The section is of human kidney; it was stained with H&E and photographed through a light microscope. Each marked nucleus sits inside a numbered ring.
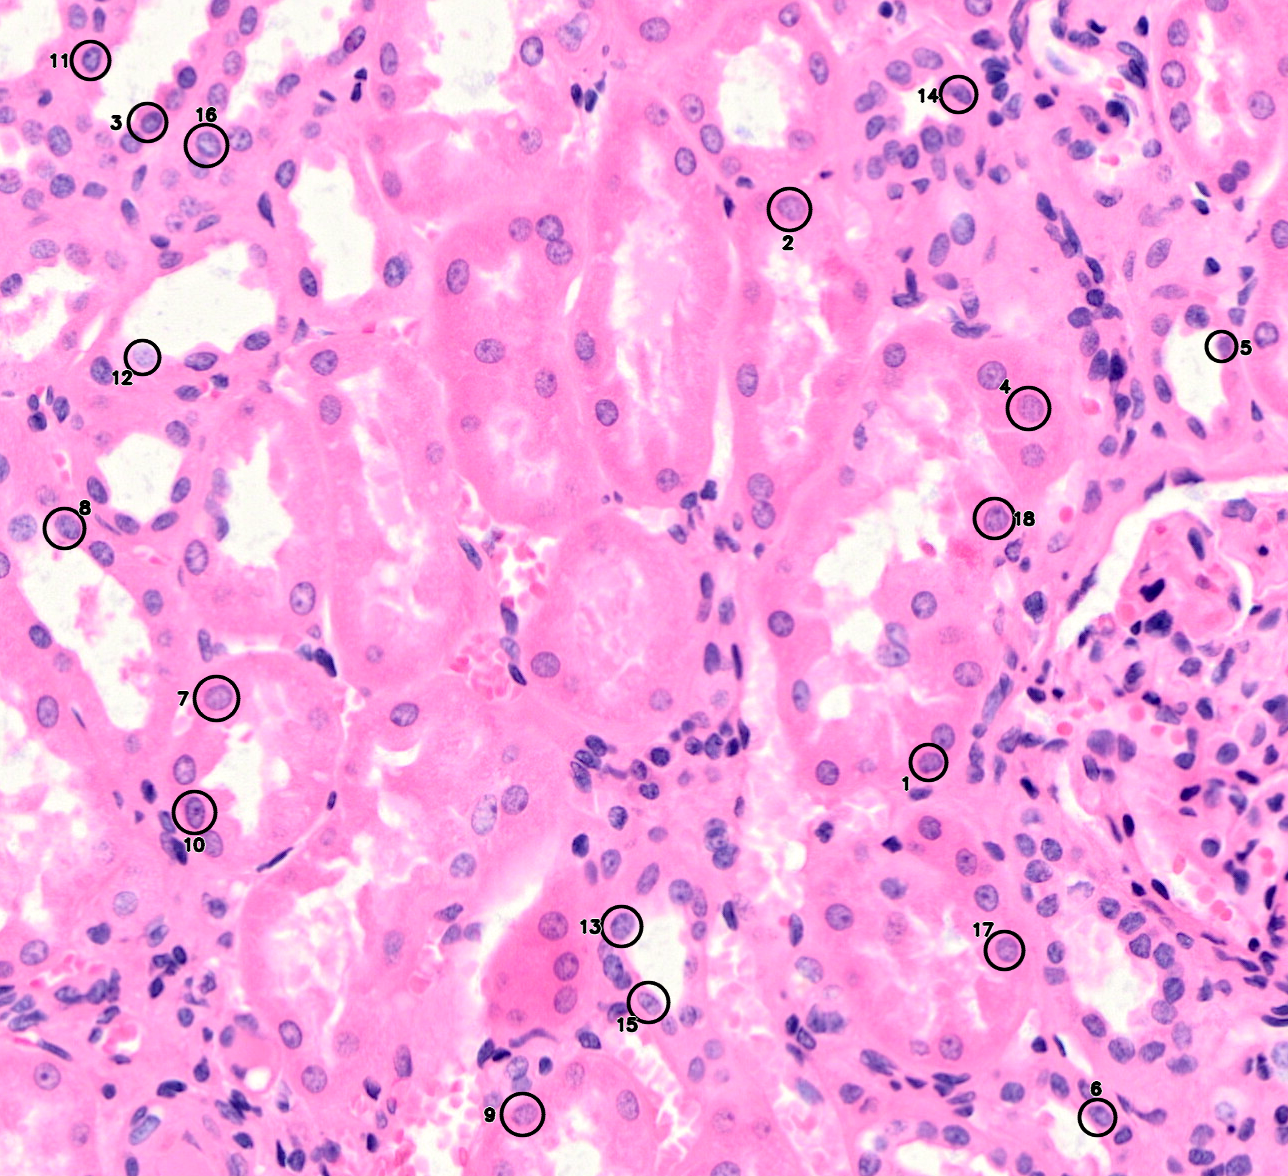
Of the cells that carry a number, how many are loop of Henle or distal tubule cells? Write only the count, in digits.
6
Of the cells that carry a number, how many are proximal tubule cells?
8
